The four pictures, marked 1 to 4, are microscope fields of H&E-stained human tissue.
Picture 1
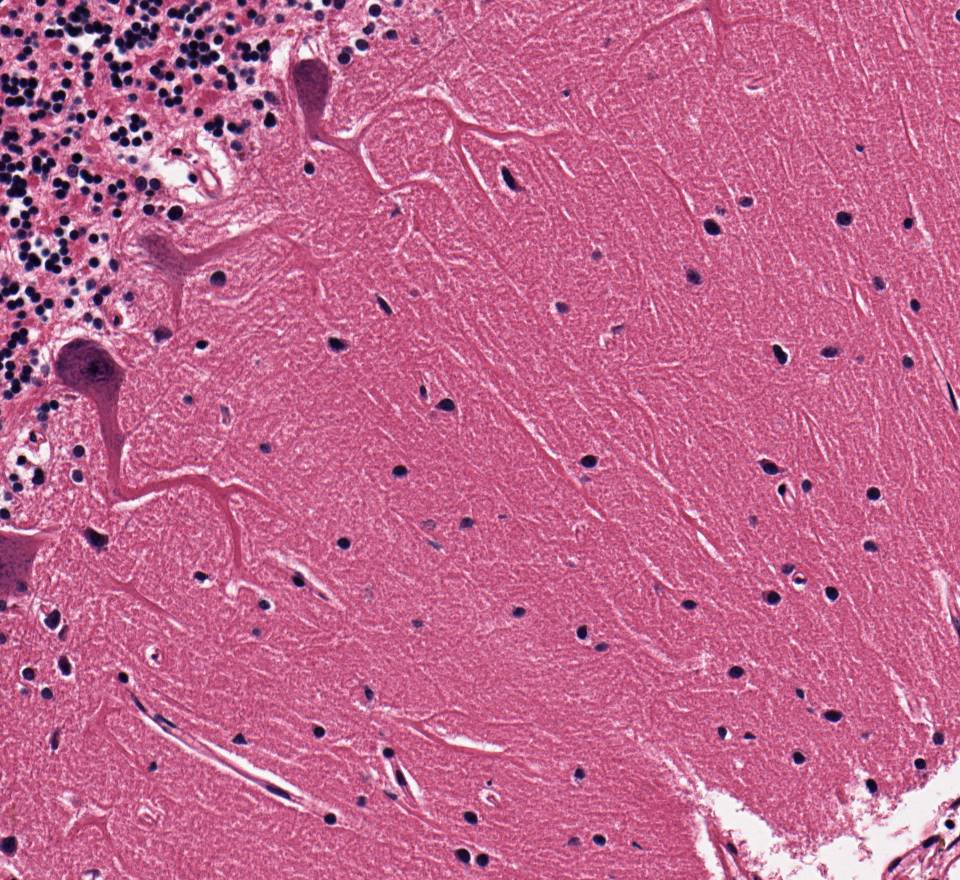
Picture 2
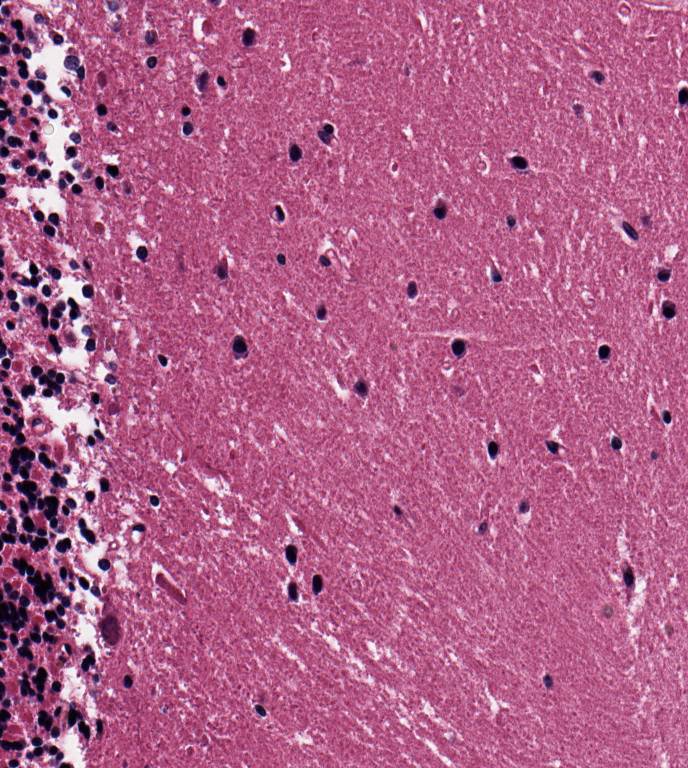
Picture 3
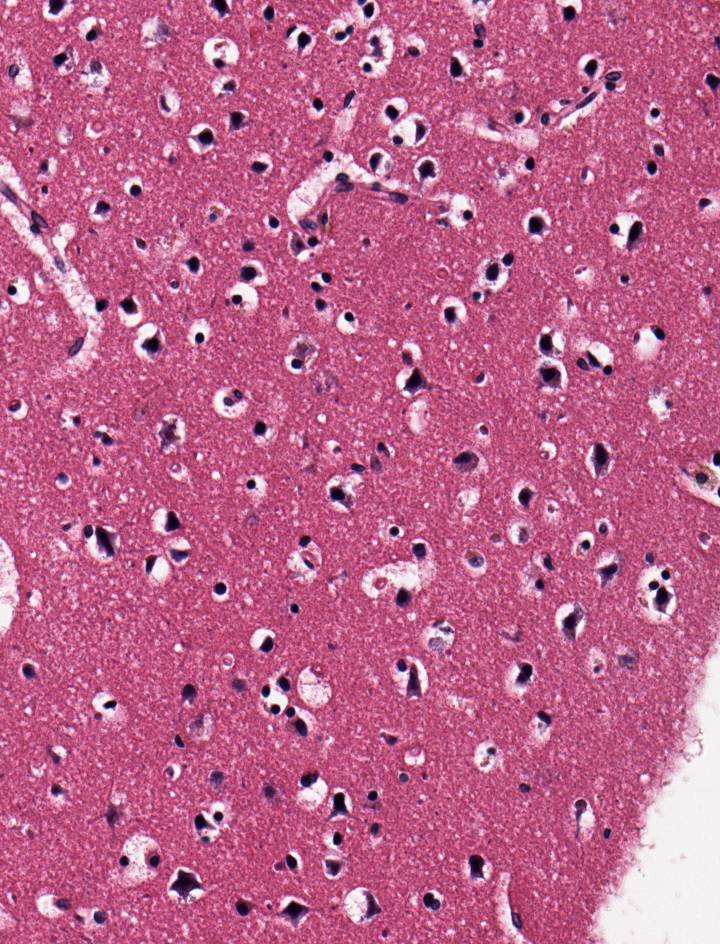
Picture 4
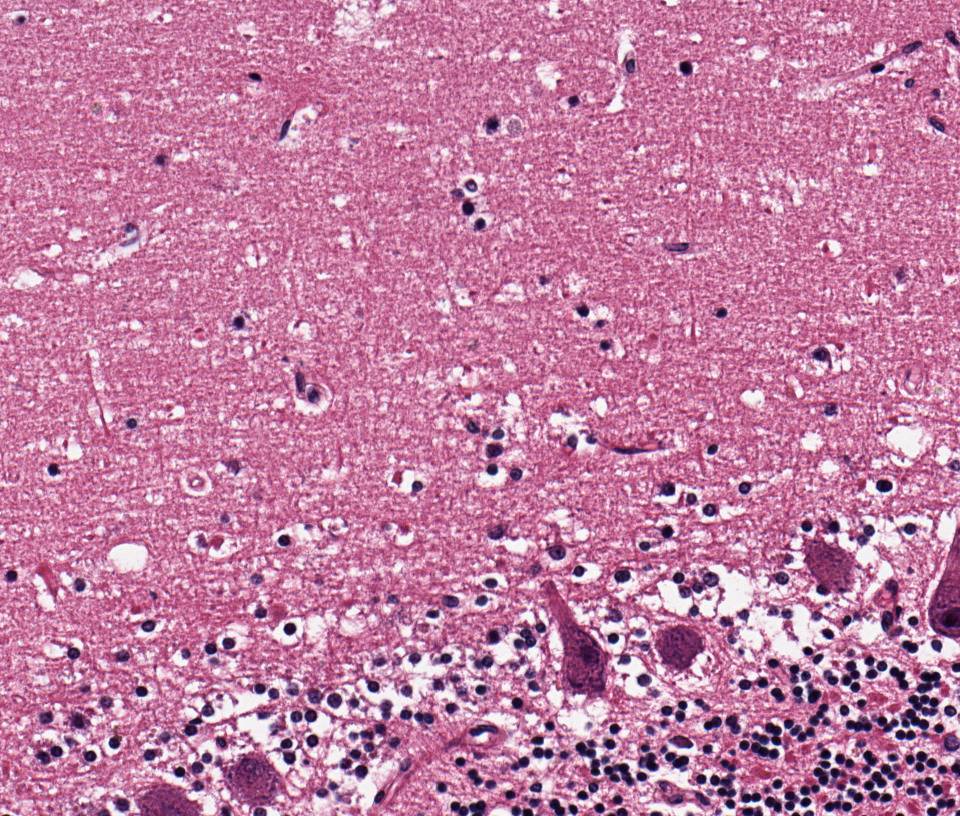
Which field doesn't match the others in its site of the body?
3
